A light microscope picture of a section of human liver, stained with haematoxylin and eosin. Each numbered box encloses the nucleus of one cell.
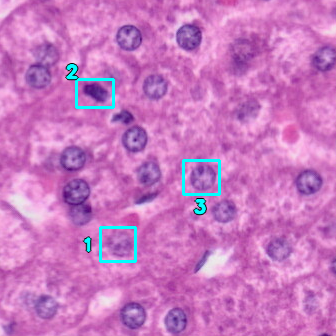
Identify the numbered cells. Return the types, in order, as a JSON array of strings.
["hepatocyte", "fibroblast or stellate cell", "hepatocyte"]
